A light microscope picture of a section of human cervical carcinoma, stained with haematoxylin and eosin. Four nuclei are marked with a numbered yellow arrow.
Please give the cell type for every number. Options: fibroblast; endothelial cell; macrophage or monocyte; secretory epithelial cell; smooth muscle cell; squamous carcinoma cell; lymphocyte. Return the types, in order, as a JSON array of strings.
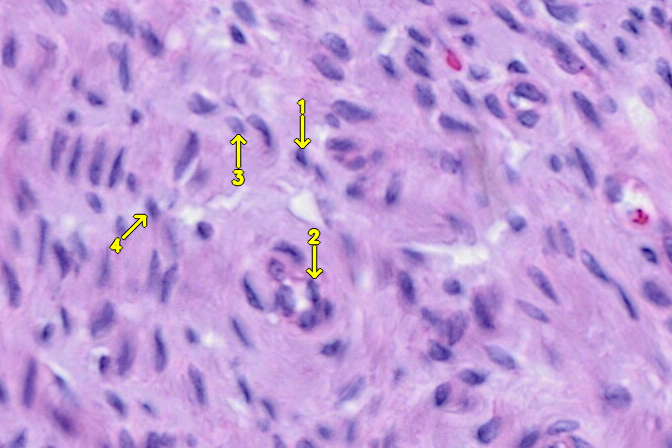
["fibroblast", "endothelial cell", "fibroblast", "fibroblast"]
